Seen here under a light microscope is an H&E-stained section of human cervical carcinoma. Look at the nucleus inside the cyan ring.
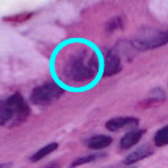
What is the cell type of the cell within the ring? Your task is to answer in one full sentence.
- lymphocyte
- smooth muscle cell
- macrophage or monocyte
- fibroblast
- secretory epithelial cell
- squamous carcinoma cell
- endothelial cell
The correct response here is that the cell within the ring is a secretory epithelial cell.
